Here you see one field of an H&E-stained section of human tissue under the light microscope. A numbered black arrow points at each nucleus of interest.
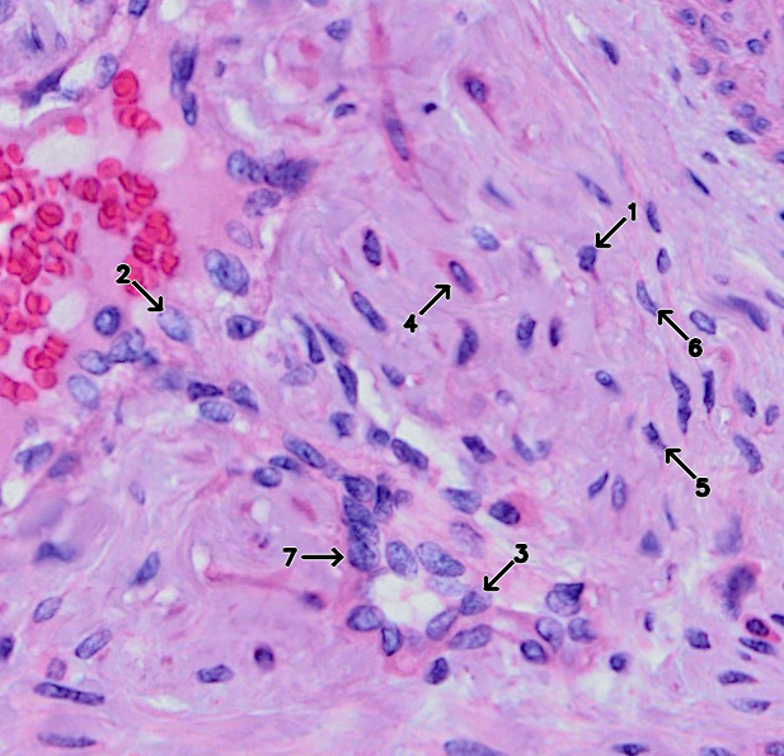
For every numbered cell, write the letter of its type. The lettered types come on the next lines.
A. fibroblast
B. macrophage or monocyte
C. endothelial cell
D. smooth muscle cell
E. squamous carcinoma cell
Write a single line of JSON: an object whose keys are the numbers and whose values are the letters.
{"1": "A", "2": "C", "3": "C", "4": "D", "5": "A", "6": "A", "7": "C"}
